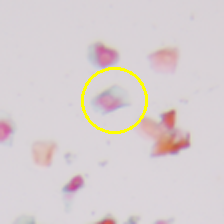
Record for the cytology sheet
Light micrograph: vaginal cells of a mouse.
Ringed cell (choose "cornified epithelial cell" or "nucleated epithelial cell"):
nucleated epithelial cell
